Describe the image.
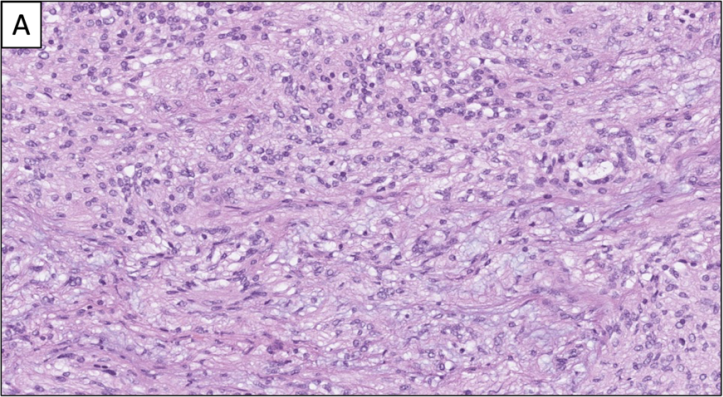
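The nuclei are small, oval to elongated and fairly uniform, stained purple, without large or irregular forms. The cells run in loose, wavy streams through a pink fibrillary background. Small clear vacuoles and paler areas are scattered among the cells. No palisaded rows of nuclei around pink fibrillary zones are seen here.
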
